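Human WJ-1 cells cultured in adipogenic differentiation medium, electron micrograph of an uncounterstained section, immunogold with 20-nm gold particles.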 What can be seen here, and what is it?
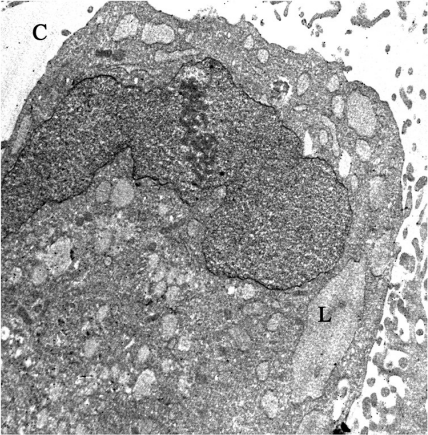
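A large, irregular, lobulated nucleus with dense, finely granular chromatin and a sharply outlined nuclear envelope occupies much of the cell. The surrounding cytoplasm is dense and granular and holds numerous pale, round to oval membrane-bound lipid vacuoles of varying size, one of them elongated near the cell margin. The cell surface on one side bears many slender projections cut in cross and oblique section.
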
